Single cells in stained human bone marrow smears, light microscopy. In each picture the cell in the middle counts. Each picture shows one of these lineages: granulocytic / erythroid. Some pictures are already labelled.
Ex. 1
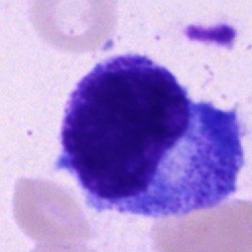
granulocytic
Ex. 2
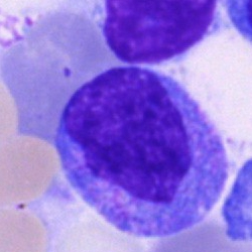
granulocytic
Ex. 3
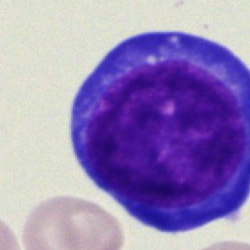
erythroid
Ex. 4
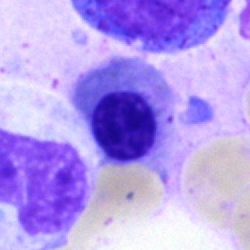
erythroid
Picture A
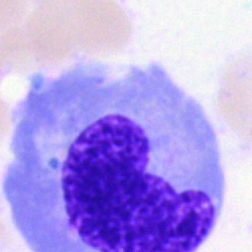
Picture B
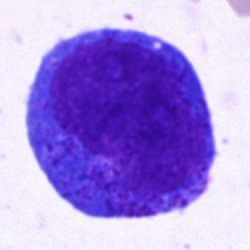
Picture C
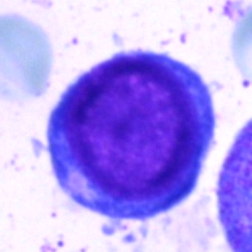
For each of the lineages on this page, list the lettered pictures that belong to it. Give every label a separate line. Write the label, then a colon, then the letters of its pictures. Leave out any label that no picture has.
granulocytic: B
erythroid: A, C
